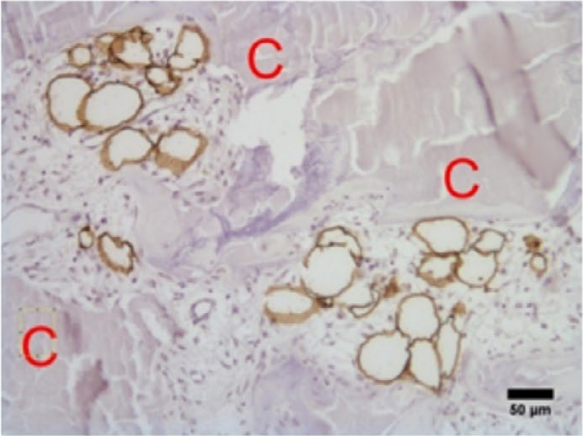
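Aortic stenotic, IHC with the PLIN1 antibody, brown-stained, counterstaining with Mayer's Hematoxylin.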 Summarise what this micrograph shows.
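The valve tissue contains two groups of adipocytes set in cellular stroma between several calcified regions. The adipocytes are large cells with clear, empty-looking interiors and thin brown-stained borders, varying in size and crowded together. The surrounding connective tissue holds numerous small blue nuclei. The calcified areas appear as pale, cracked, largely acellular masses that border the fat cell groups on several sides.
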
